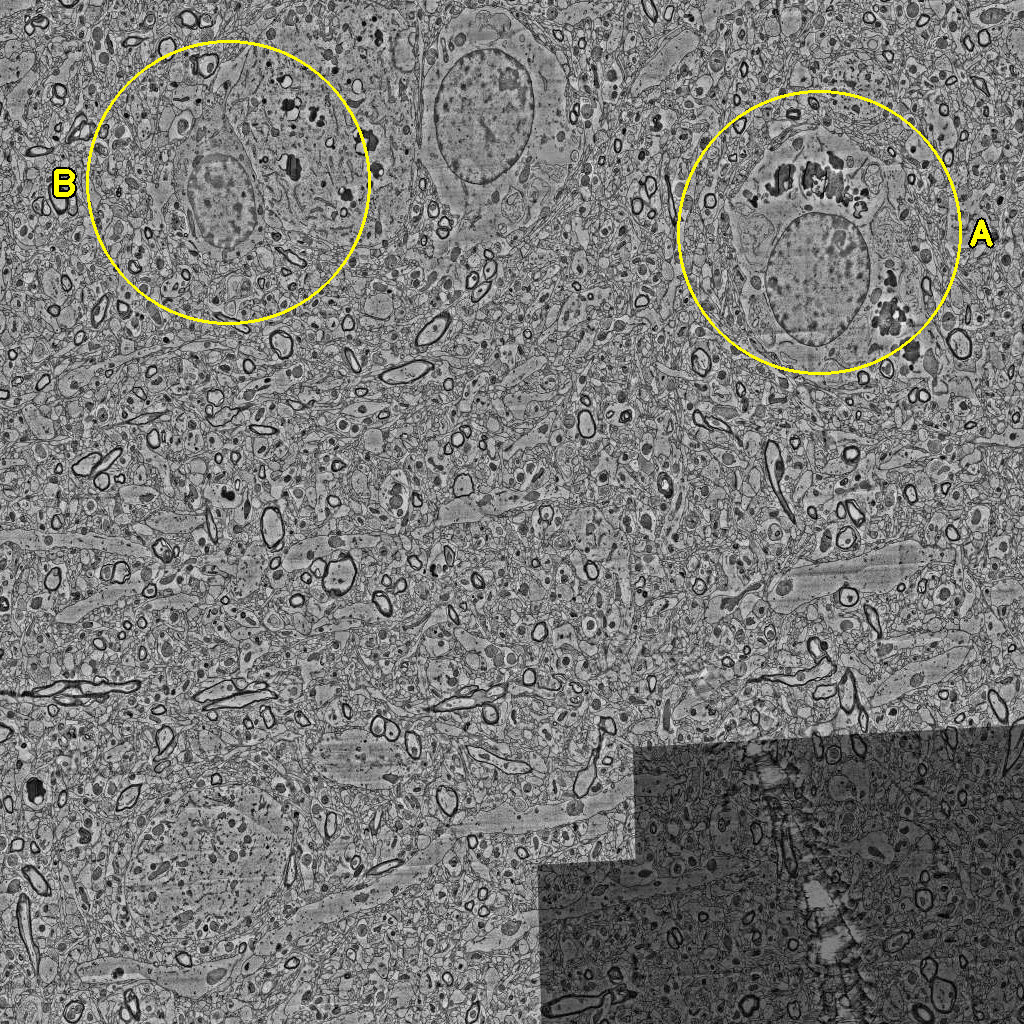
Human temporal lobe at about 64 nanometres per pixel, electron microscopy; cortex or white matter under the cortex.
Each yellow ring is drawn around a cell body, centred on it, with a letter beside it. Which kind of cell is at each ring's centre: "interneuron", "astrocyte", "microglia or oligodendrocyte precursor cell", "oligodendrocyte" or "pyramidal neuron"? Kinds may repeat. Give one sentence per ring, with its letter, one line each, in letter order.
Ring A is centred on an astrocyte.
Ring B is centred on an oligodendrocyte.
